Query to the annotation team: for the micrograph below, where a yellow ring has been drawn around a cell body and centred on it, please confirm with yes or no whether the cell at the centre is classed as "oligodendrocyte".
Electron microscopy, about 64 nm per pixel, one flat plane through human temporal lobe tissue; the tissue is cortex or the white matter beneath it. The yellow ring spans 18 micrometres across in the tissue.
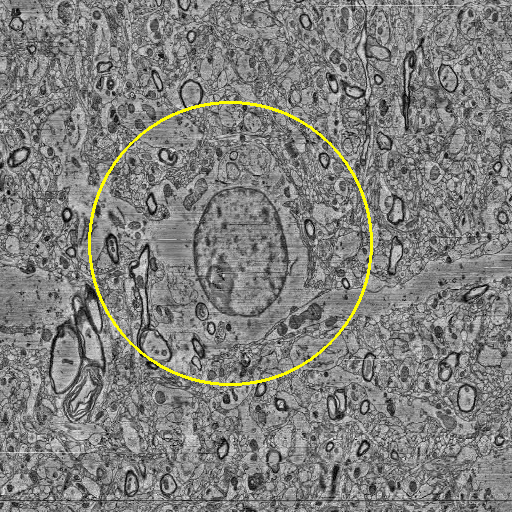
No, it belongs to another class.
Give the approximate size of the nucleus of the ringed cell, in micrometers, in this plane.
The nucleus measures about 9 by 6 micrometres in this plane.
